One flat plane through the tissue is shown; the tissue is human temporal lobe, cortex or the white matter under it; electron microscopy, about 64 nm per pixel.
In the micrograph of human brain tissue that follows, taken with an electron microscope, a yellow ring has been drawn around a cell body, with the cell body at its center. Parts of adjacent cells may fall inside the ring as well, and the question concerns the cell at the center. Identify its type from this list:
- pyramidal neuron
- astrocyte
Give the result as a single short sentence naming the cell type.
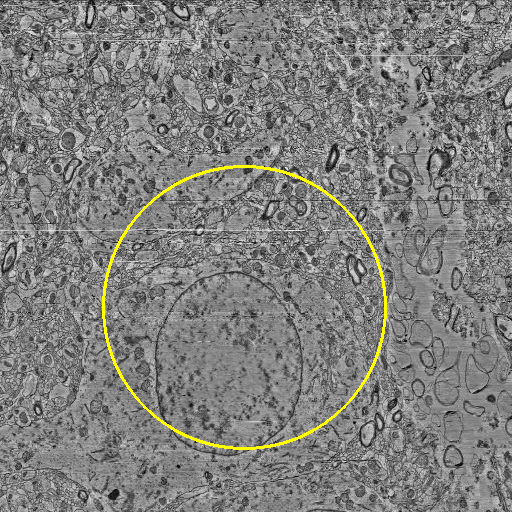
The ring is centered on a pyramidal neuron.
